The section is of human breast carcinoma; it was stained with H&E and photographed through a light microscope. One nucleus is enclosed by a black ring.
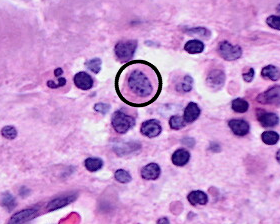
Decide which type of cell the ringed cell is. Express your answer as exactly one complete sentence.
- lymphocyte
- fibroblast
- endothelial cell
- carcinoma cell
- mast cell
In cellular terms, the ringed cell is a mast cell.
